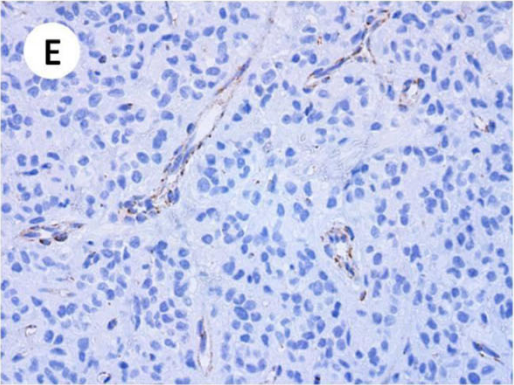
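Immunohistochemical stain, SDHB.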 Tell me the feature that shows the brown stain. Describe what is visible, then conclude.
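Vascular elements. Brown stain outlines thin branching tubular structures. The surrounding tumor cells show only blue nuclei without brown.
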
